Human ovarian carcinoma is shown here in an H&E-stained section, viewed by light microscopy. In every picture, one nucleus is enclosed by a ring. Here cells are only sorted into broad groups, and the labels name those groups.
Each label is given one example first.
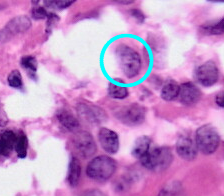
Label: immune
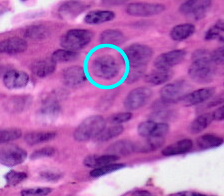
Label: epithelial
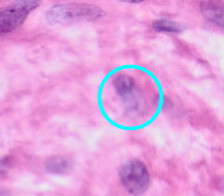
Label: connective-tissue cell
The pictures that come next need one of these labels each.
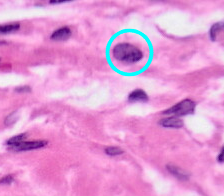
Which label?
immune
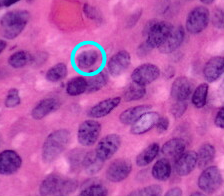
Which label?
immune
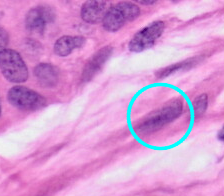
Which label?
connective-tissue cell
